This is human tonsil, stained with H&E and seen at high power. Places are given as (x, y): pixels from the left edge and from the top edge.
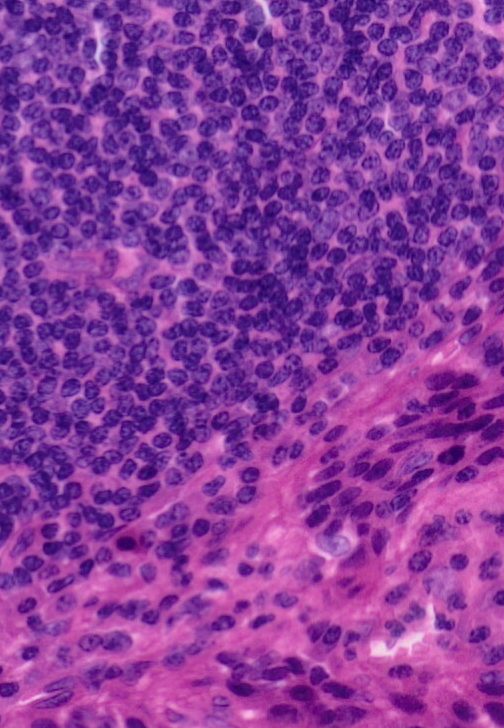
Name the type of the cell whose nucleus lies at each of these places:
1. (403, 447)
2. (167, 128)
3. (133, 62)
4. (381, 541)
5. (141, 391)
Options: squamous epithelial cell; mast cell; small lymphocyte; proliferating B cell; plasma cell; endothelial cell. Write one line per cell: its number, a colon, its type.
1: squamous epithelial cell
2: small lymphocyte
3: small lymphocyte
4: squamous epithelial cell
5: small lymphocyte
